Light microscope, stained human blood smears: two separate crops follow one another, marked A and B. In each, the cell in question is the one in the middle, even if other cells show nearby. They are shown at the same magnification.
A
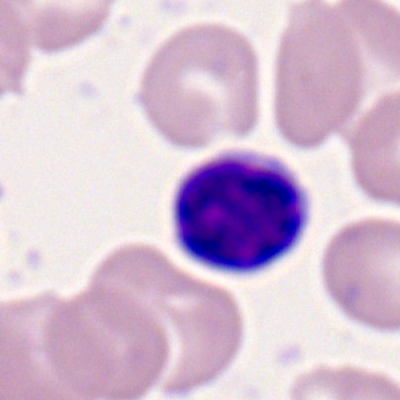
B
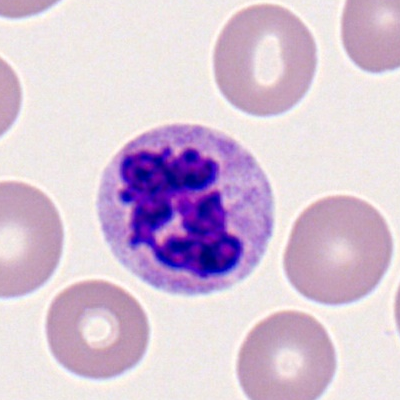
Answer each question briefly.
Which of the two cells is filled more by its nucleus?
A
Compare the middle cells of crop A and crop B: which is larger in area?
B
